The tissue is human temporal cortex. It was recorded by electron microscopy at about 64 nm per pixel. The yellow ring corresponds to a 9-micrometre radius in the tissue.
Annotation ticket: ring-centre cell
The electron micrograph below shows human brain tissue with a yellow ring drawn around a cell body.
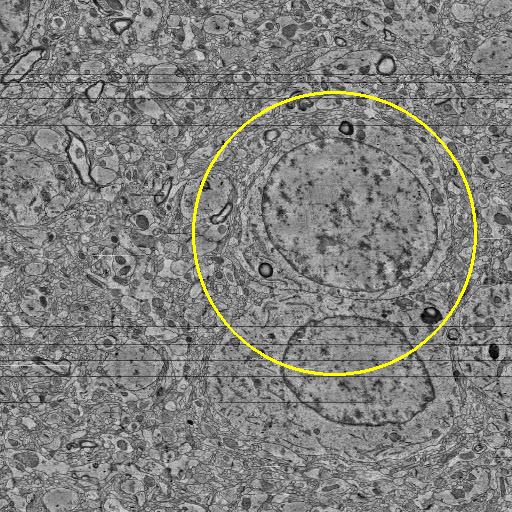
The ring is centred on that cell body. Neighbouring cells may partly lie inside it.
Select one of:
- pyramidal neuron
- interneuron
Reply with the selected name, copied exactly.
pyramidal neuron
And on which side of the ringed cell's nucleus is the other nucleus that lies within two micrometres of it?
The other nucleus is located below it.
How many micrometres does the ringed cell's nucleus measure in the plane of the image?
About 11 micrometers across, in this plane.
